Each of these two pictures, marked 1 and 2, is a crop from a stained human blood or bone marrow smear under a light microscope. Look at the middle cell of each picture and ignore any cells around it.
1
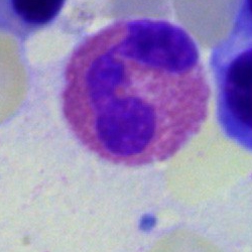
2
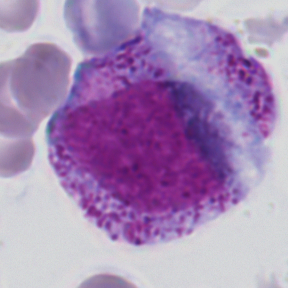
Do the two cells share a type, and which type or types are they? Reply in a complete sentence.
No, crop 1 captures an eosinophil; meanwhile crop 2 captures a promyelocyte.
